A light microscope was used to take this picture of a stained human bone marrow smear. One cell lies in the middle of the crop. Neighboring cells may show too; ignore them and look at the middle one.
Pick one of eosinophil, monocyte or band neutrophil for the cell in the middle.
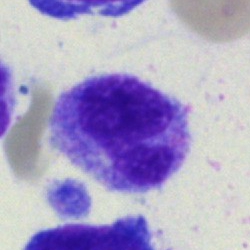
monocyte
